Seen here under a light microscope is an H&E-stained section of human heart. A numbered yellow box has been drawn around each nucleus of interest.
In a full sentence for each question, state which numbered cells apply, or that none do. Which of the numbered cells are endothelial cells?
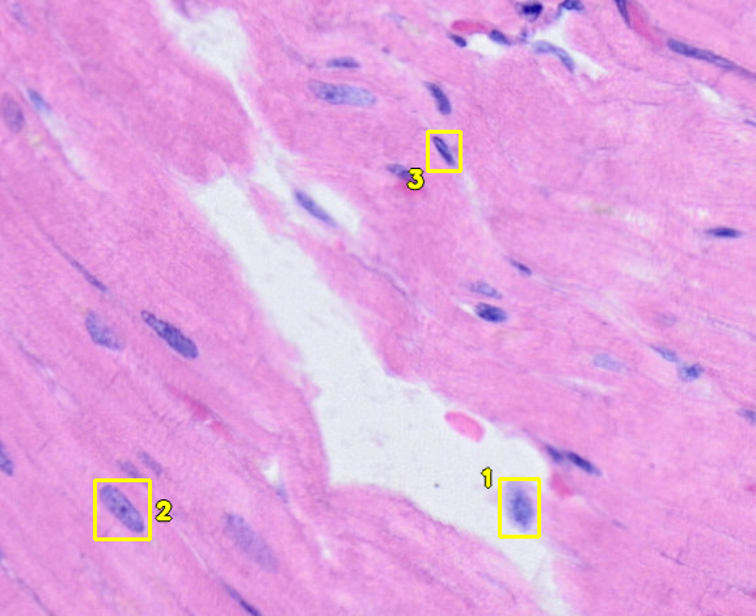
No marked cell except number 3 is an endothelial cell.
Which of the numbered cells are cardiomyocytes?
Only cell 2 is a cardiomyocyte; none of the other numbered cells is.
